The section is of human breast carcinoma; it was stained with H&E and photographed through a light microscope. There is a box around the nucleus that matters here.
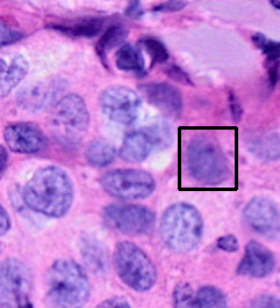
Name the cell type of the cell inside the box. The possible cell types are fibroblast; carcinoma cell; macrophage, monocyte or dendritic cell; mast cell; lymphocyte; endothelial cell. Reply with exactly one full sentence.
Microscopically, the cell inside the box is categorized as a carcinoma cell.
